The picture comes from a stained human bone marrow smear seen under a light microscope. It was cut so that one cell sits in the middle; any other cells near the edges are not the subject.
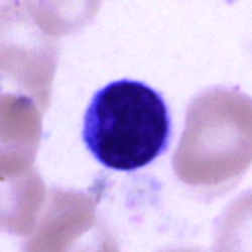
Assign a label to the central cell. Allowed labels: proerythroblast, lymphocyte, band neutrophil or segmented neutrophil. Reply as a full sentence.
Located at the centre of the crop is a lymphocyte.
